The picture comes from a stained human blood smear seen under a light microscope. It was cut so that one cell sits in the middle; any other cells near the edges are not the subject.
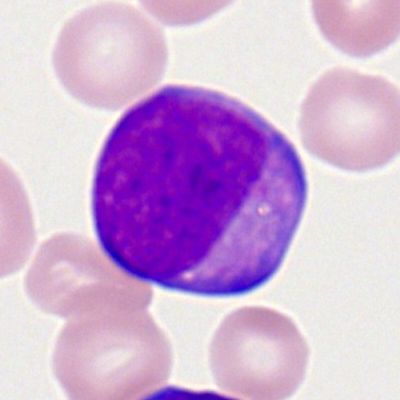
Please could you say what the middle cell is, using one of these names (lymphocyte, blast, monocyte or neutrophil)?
blast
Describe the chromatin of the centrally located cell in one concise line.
The chromatin remains finely textured, with no coarse clumps to speak of.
